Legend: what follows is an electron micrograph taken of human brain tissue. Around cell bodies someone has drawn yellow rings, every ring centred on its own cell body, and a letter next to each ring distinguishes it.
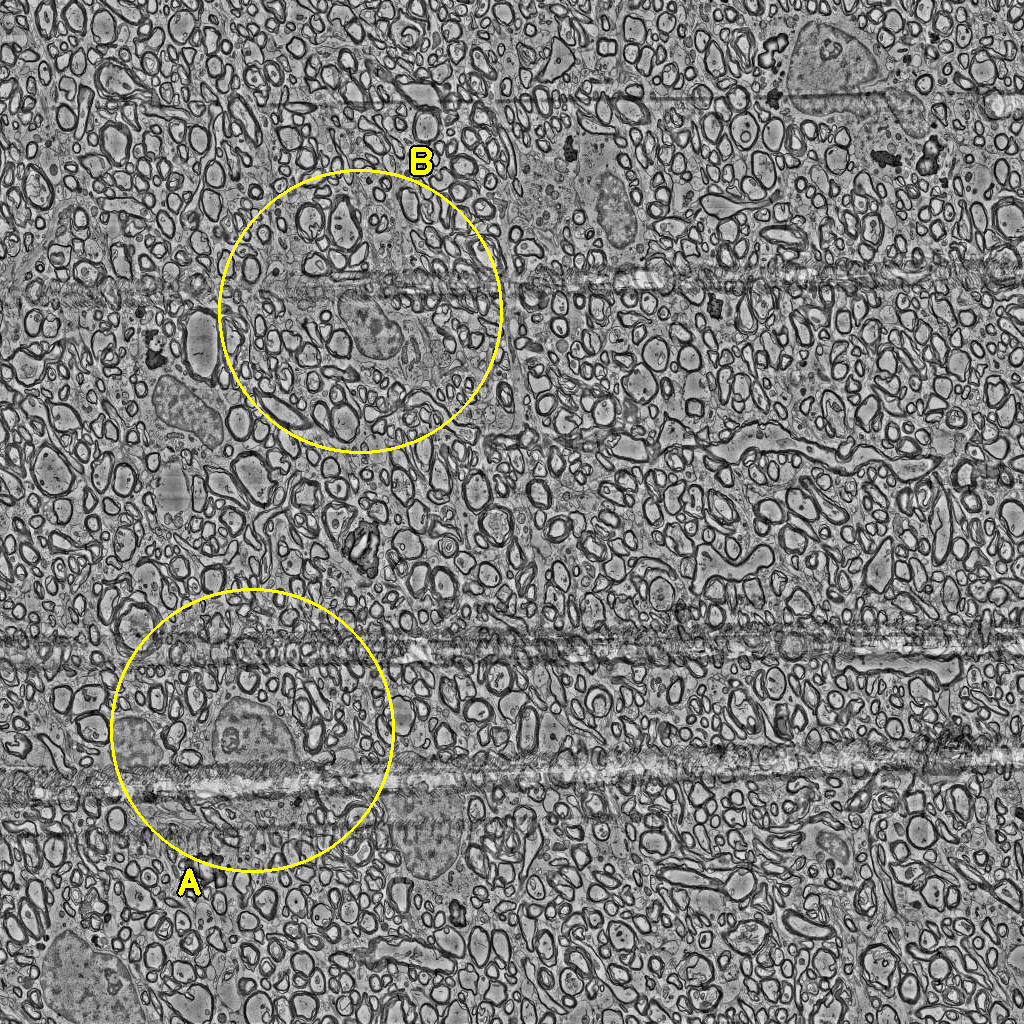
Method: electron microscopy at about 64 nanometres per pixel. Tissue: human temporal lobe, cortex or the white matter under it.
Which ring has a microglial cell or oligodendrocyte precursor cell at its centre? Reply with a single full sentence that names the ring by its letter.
Ring B is the one centred on the cell asked for in the picture.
